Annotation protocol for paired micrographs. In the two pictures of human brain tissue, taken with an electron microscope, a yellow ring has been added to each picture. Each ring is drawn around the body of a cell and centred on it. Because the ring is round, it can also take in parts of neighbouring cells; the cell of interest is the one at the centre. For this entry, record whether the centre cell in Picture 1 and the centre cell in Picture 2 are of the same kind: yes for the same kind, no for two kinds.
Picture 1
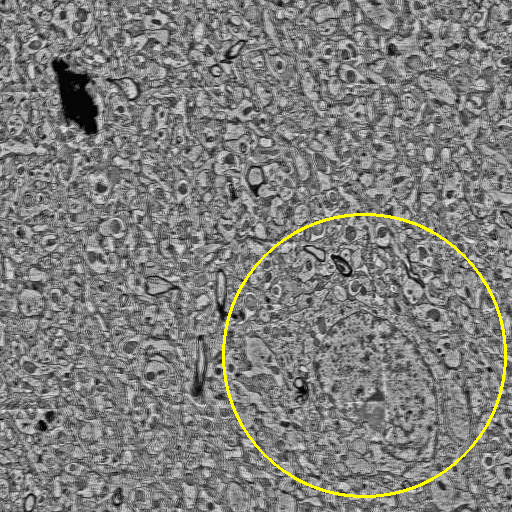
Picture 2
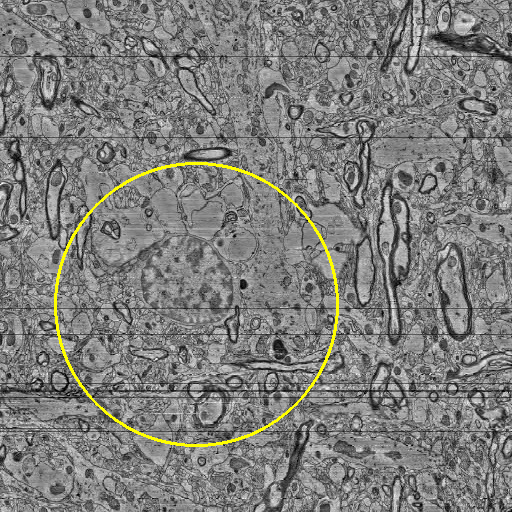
no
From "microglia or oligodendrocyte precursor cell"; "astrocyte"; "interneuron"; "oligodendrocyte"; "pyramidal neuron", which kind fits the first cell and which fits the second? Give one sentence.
The cell marked in the first picture is an interneuron, and the one marked in the second is an oligodendrocyte.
